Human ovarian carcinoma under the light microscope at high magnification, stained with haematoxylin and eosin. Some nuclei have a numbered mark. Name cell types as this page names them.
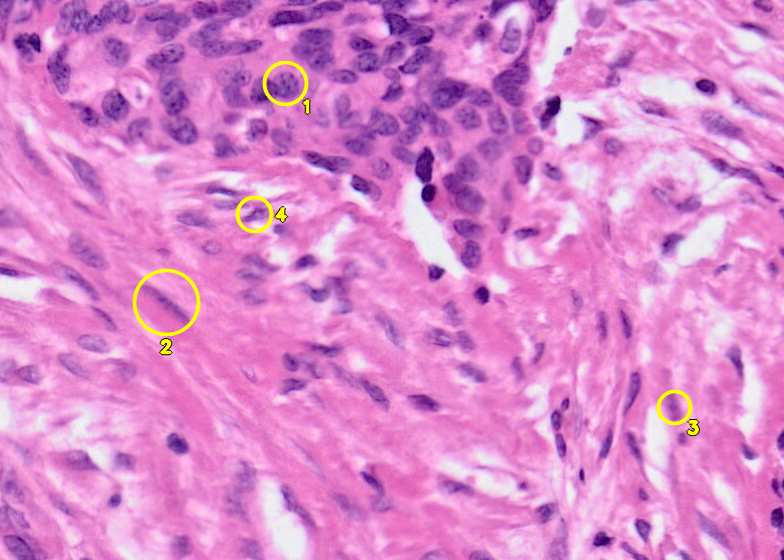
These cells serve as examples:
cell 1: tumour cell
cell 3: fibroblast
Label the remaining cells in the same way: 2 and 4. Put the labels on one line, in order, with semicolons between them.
fibroblast; fibroblast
